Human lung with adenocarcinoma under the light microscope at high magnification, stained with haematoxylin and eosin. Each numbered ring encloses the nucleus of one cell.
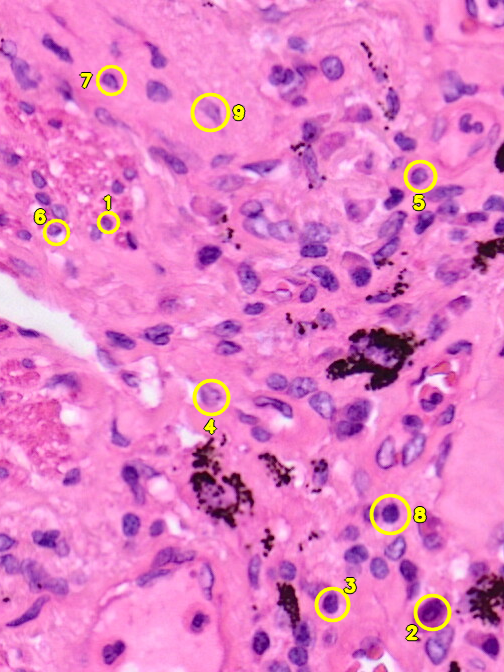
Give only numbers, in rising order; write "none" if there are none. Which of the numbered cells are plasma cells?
2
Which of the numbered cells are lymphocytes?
3, 8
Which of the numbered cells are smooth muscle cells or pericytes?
1, 6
